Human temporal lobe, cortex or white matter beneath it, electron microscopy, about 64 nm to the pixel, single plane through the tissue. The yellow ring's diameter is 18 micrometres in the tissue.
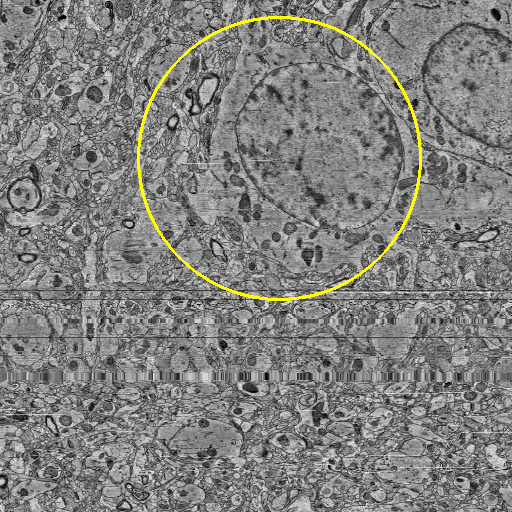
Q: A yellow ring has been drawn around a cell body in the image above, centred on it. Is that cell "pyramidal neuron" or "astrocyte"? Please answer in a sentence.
The ring surrounds the cell body of an astrocyte.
